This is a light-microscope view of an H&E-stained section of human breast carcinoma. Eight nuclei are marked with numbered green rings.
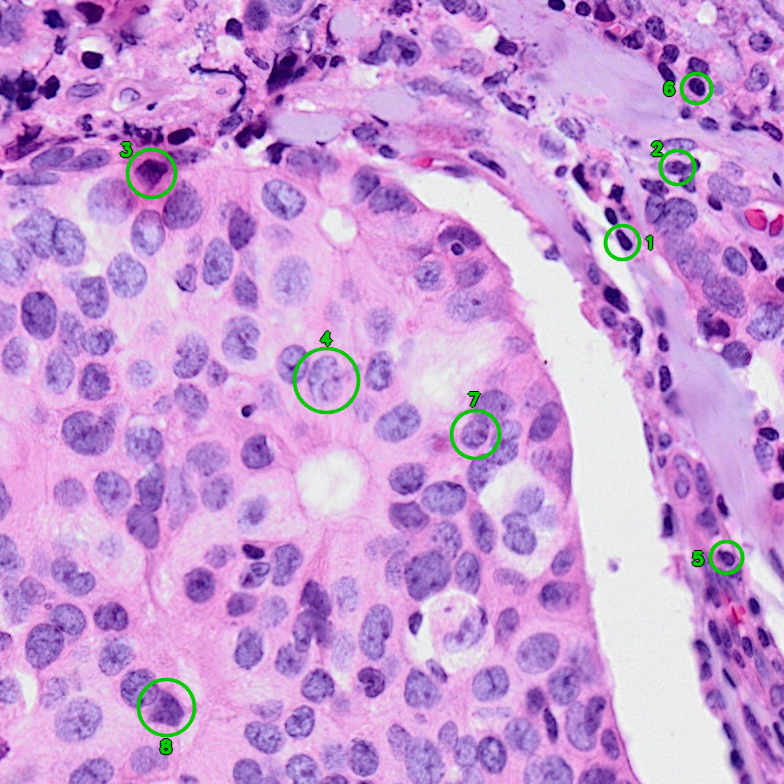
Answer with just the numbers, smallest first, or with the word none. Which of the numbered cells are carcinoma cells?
3, 4, 7, 8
